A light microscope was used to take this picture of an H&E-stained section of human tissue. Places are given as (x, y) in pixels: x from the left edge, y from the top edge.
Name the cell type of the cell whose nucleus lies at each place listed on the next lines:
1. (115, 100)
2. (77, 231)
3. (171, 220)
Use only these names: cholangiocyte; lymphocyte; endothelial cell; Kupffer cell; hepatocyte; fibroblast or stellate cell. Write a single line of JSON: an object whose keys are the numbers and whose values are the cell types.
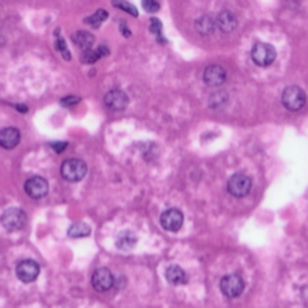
{"1": "hepatocyte", "2": "Kupffer cell", "3": "hepatocyte"}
